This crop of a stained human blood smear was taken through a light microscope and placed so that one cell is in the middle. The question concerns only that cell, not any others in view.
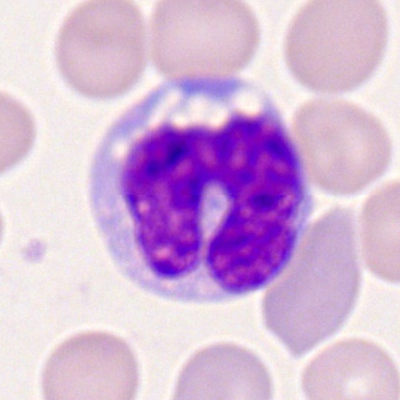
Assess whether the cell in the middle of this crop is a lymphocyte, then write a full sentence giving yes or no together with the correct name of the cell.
No, the cell in the middle of the crop counts as a monocyte and not as a lymphocyte.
